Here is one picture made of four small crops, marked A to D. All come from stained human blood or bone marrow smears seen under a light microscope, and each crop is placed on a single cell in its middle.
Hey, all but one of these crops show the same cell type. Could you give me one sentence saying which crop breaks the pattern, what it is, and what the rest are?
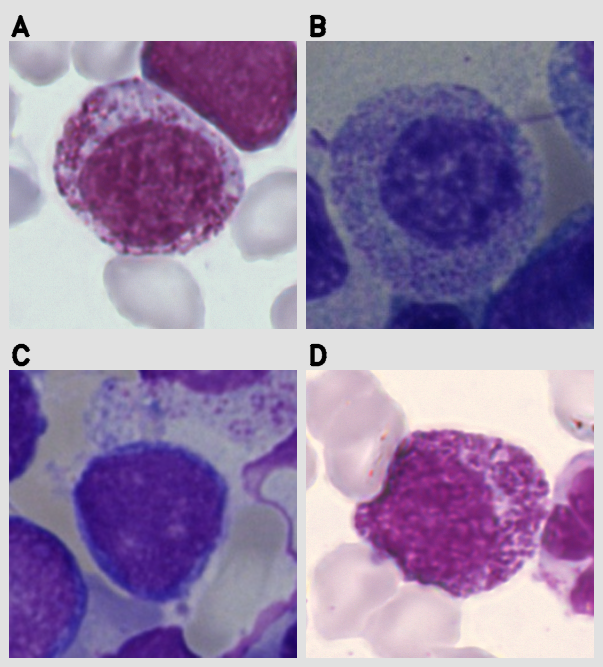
Apart from crop C, which shows a blast, every crop shows myelocytes.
